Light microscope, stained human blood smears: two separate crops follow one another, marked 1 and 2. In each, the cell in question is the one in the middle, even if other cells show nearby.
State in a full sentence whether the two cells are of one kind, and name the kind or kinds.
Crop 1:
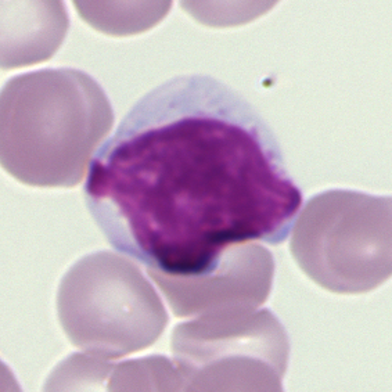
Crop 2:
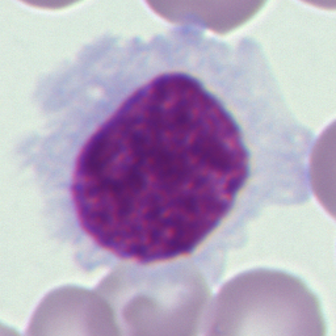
No, crop 1 shows a large granular lymphocyte, whereas in crop 2 the cell is a hairy cell.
